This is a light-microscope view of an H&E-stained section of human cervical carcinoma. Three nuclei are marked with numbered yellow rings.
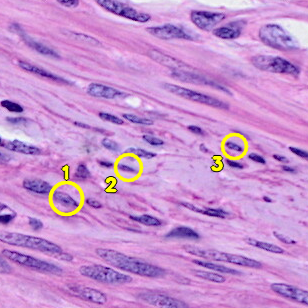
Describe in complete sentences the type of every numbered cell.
Cells 1 and 3 are smooth muscle cells. Cell 2 is a fibroblast.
